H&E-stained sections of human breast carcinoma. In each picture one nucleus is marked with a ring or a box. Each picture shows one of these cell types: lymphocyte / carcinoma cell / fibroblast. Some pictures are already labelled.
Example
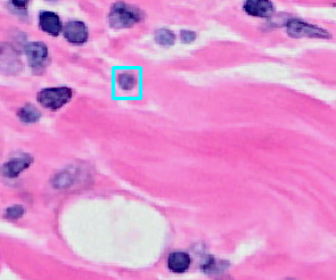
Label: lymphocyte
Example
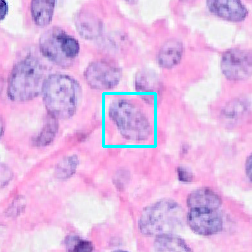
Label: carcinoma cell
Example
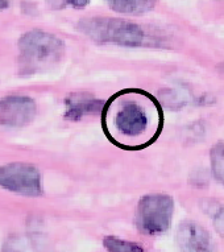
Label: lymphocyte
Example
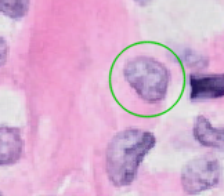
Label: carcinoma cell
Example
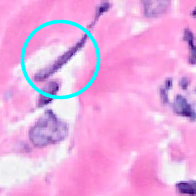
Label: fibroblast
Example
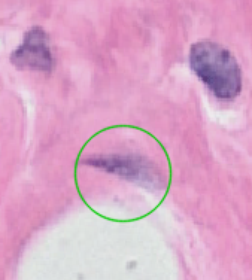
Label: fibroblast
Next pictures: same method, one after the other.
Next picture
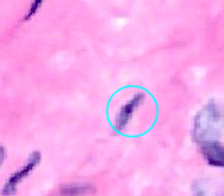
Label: fibroblast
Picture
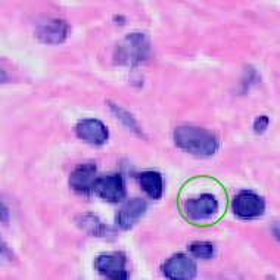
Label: lymphocyte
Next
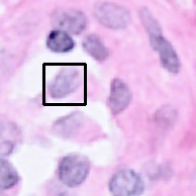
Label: carcinoma cell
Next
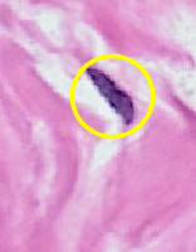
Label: fibroblast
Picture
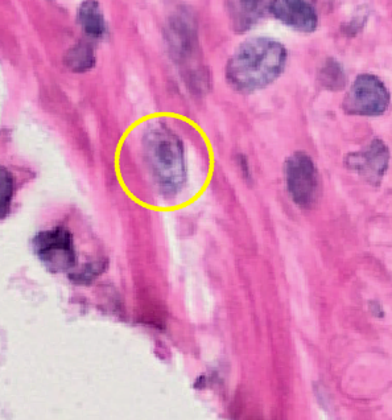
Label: fibroblast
